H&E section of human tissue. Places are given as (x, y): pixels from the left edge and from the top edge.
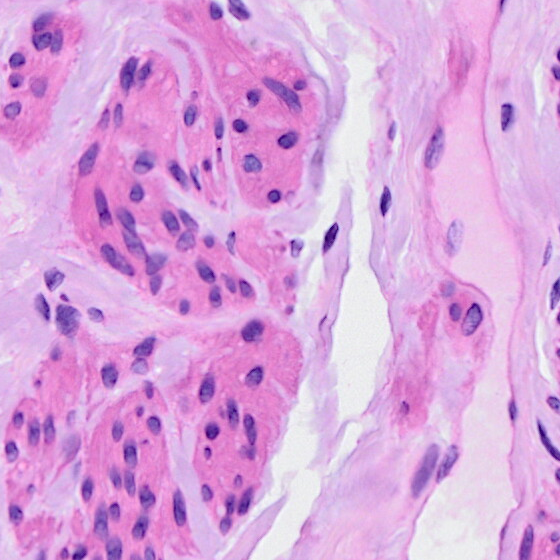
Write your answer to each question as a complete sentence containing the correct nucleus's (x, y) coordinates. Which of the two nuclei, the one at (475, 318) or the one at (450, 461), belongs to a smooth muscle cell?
Here the nucleus at (475, 318) is the one that belongs to a smooth muscle cell.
